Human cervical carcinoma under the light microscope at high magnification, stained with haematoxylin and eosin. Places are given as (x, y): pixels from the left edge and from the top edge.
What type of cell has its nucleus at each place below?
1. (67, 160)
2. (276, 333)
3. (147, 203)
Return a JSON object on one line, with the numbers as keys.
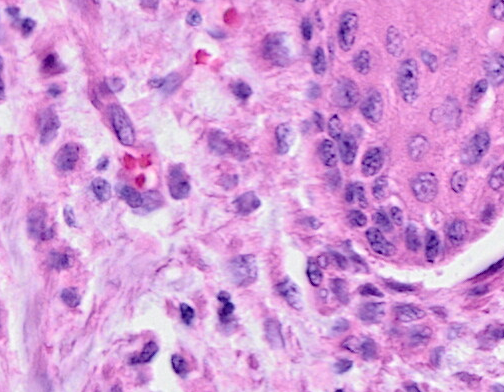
{"1": "macrophage or monocyte", "2": "fibroblast", "3": "endothelial cell"}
